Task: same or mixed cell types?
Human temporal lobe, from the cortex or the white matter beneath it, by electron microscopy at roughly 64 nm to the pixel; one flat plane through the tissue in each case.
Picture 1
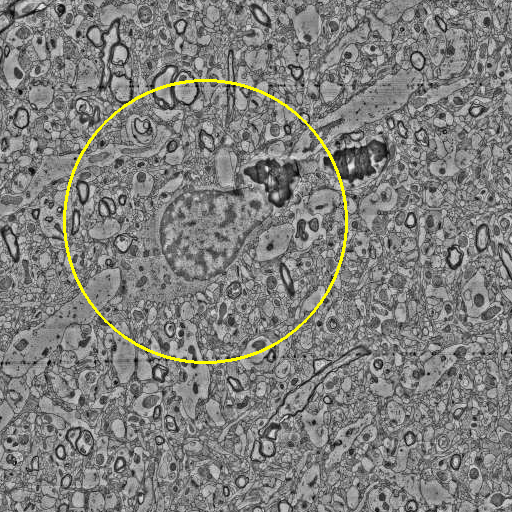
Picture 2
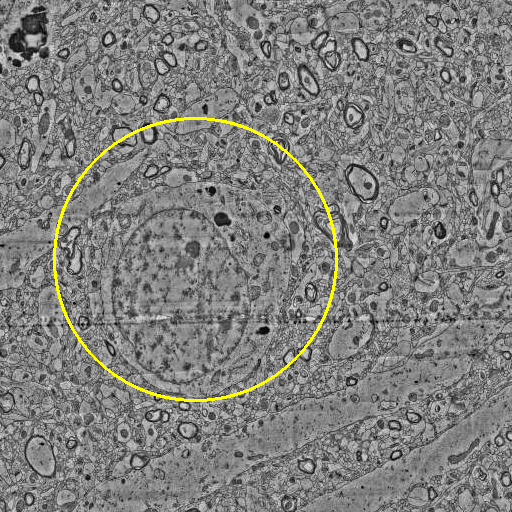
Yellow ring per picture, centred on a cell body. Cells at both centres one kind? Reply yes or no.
no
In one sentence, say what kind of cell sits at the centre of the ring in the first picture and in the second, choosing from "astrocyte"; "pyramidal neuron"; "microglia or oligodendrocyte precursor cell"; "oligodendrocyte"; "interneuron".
The first picture's ringed cell is an oligodendrocyte, while the second picture's is a pyramidal neuron.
